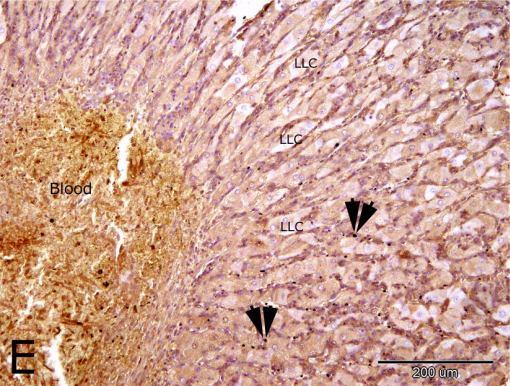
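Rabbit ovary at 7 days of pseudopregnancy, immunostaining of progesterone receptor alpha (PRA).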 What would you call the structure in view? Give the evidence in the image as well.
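A mass of blood lies at the left side of the field. It is bordered by sheets of large polygonal lutein-like cells.
Conclusion: corpus hemoragicum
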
